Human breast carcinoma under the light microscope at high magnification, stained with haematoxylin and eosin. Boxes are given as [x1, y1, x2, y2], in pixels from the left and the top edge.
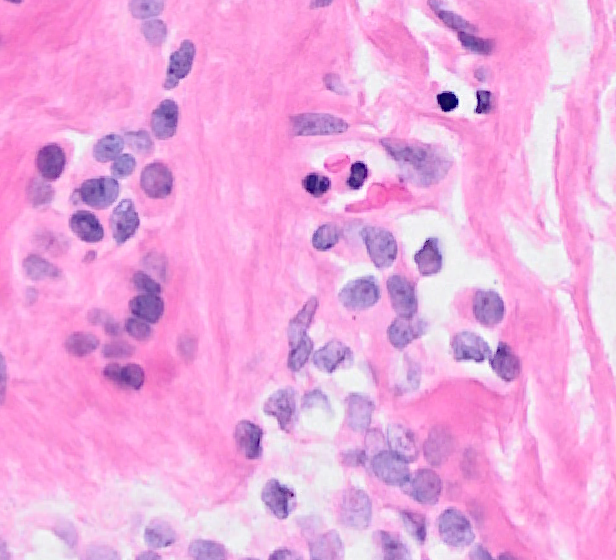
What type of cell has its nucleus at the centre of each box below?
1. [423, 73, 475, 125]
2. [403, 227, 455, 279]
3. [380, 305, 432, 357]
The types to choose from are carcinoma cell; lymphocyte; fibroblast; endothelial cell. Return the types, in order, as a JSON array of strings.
["lymphocyte", "carcinoma cell", "carcinoma cell"]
